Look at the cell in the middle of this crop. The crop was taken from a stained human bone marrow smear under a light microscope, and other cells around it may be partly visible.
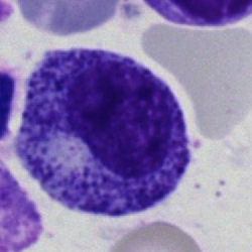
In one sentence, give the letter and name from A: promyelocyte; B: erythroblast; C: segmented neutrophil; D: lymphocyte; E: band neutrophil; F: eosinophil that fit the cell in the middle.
Well, the cell in the middle is a promyelocyte, making option A right.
